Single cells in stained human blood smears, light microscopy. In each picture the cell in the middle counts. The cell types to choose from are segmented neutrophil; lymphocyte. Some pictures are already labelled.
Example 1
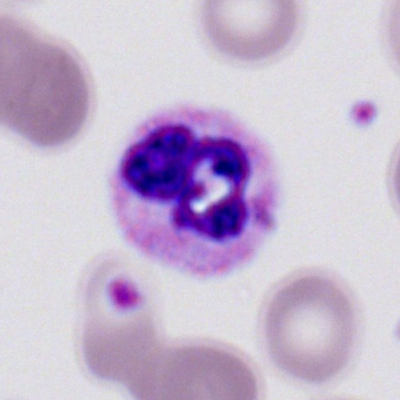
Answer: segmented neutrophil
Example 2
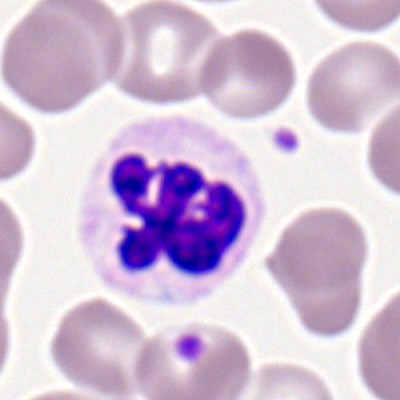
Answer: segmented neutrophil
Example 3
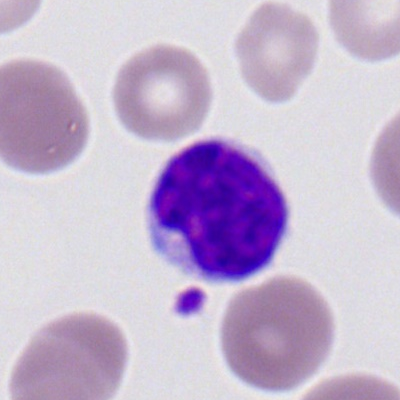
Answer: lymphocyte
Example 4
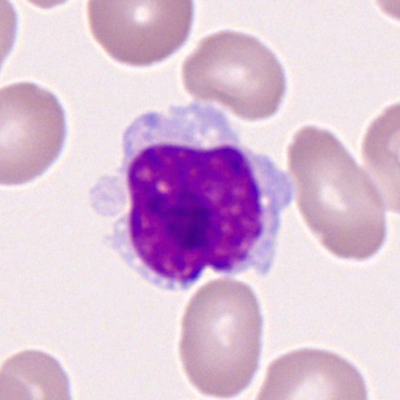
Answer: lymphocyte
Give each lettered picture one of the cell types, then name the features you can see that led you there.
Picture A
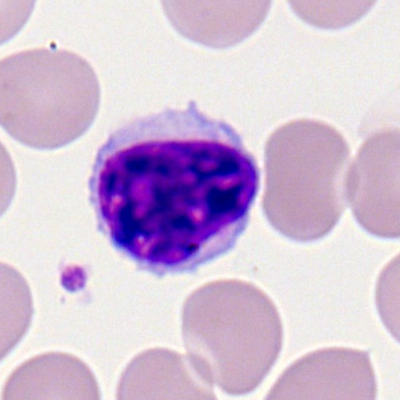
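Answer: lymphocyte. The nucleus fills most of the cell.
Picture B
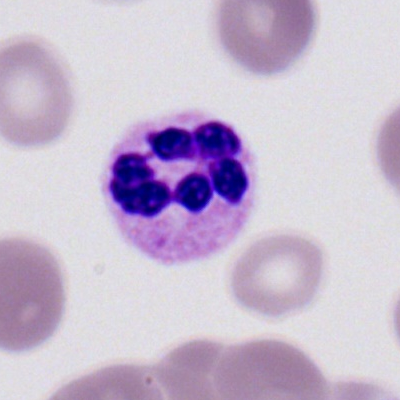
Answer: segmented neutrophil. The nucleus is split into more than five separate lobes.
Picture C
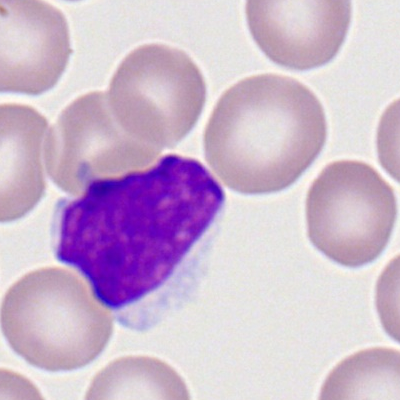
Answer: lymphocyte. The nucleus fills most of the cell.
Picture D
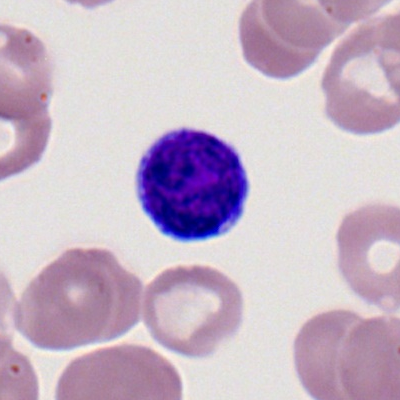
Answer: lymphocyte. Cytoplasm is very scant, at most a thin rim at the edge.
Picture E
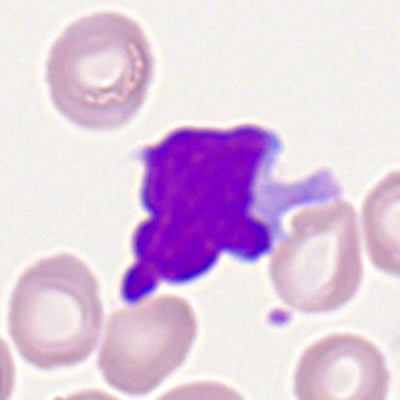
Answer: lymphocyte. A small amount of pale blue cytoplasm lies mainly on the right side of the cell.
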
